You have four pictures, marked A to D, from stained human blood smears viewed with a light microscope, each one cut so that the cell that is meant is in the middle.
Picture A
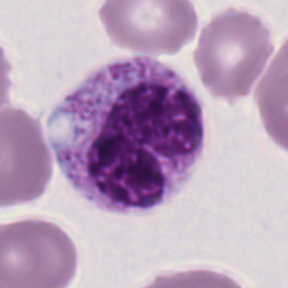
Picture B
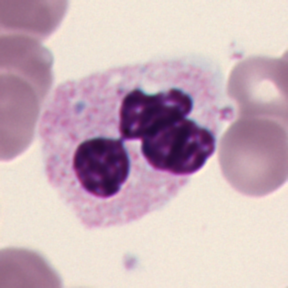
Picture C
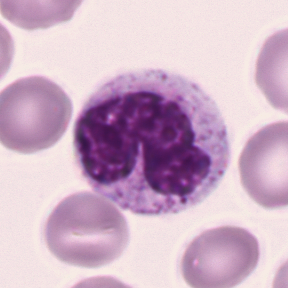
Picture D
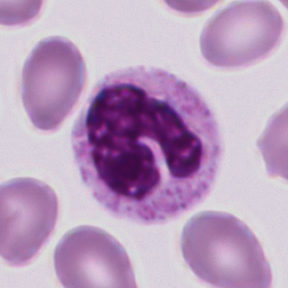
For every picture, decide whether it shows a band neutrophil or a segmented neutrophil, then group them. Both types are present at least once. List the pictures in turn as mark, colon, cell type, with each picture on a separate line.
A: band neutrophil
B: segmented neutrophil
C: band neutrophil
D: band neutrophil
